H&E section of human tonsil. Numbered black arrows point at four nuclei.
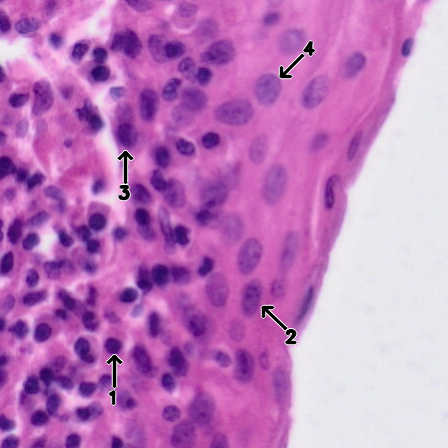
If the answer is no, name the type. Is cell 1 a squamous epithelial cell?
No, it is a plasma cell.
